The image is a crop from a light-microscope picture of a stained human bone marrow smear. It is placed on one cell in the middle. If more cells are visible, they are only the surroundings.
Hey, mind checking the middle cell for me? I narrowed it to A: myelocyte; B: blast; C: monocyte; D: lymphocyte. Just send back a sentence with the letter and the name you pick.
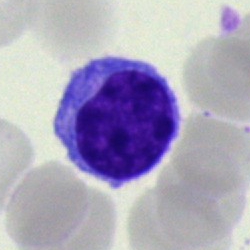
Correctly, option D names the cell in the middle a lymphocyte.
